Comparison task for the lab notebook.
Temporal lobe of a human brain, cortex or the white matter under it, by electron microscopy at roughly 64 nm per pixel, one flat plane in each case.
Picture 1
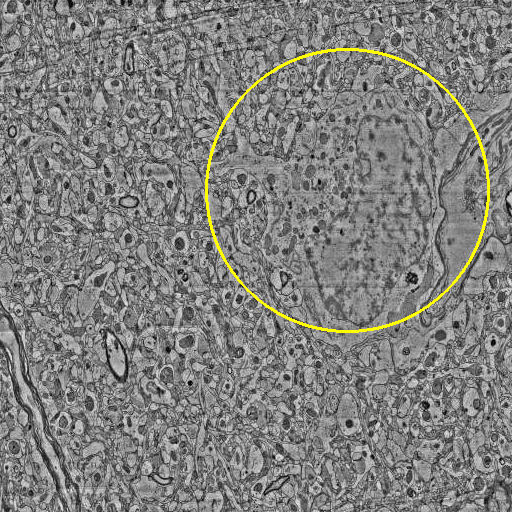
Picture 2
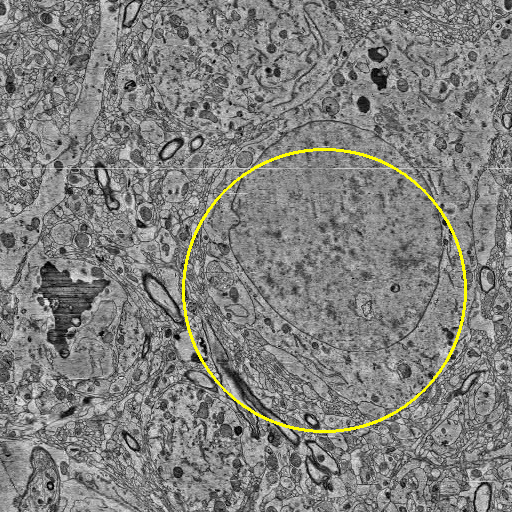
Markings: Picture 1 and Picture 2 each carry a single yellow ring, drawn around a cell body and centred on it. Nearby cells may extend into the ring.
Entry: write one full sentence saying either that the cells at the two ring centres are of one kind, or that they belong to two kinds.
The cells sitting at the ring centres in Picture 1 and Picture 2 belong to two kinds.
